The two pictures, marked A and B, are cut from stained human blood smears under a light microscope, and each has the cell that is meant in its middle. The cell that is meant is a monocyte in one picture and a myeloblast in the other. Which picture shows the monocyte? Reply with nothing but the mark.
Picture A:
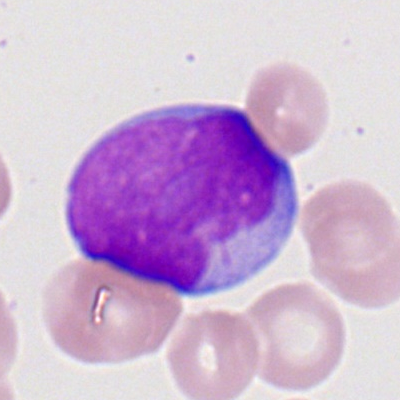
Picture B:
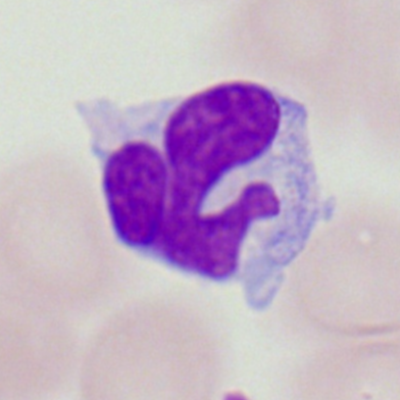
B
